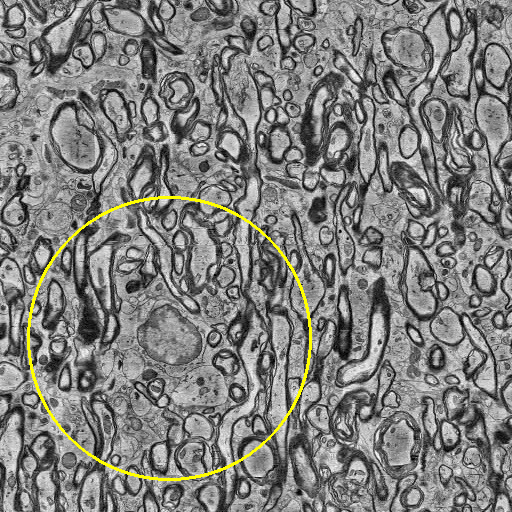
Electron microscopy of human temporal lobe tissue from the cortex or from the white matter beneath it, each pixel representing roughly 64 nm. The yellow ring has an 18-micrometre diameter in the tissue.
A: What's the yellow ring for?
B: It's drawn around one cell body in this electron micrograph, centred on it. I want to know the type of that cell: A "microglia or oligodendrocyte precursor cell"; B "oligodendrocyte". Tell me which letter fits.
A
